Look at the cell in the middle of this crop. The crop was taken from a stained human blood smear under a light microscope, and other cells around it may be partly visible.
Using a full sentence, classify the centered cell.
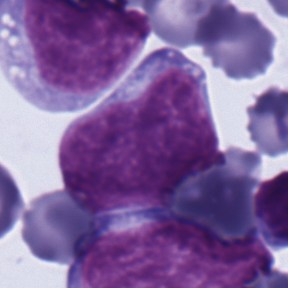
The cell at the heart of this crop is a myeloblast.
